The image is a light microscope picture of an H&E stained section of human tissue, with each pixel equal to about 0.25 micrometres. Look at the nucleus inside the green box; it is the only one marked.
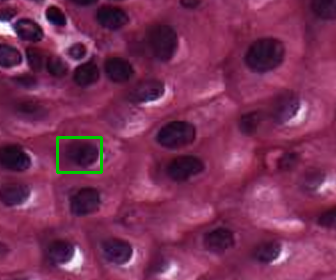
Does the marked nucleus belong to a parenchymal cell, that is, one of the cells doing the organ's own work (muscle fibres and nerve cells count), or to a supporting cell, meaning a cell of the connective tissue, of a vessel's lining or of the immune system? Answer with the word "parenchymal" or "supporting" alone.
parenchymal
